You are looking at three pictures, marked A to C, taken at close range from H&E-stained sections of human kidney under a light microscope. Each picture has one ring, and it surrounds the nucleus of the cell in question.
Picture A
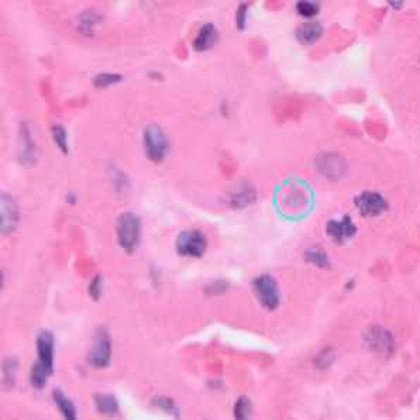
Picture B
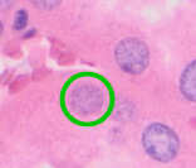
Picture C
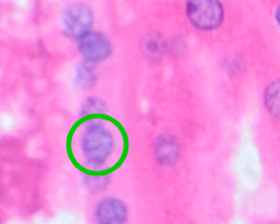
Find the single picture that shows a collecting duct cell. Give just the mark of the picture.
C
